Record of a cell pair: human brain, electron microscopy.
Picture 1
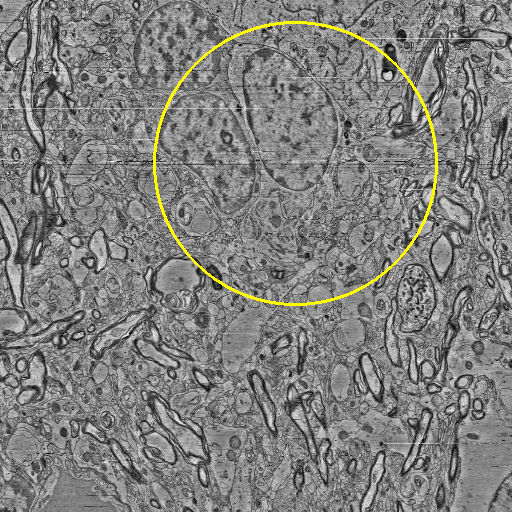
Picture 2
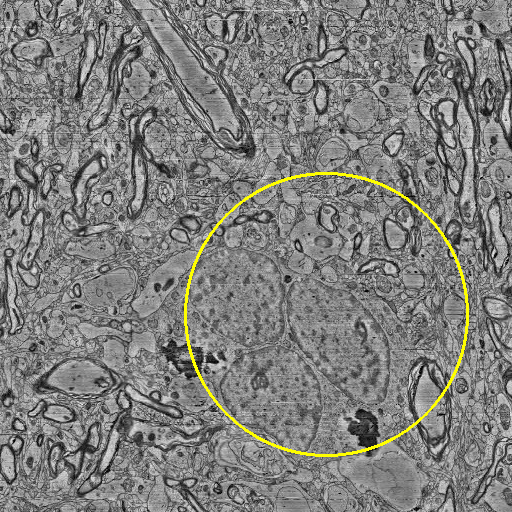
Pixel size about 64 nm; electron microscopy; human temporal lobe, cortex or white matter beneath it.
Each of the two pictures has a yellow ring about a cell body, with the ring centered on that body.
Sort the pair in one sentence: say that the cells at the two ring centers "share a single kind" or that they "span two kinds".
The cells centered in the rings of Pictures 1 and 2 span two kinds.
